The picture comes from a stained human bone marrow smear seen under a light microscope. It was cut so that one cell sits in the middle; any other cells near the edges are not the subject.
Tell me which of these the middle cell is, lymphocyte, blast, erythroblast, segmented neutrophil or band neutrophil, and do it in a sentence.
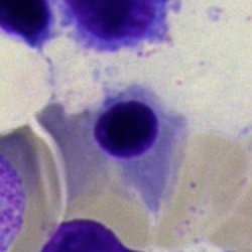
The cell sitting right in the middle is an erythroblast.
